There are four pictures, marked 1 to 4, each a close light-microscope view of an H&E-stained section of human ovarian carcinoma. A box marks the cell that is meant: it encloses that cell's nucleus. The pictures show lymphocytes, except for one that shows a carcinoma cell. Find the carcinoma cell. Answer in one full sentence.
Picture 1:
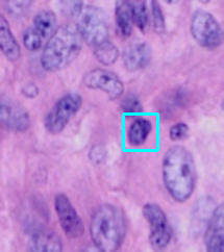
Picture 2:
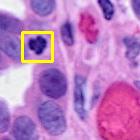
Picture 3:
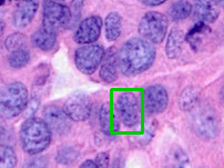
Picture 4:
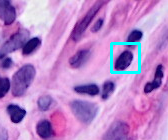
The cell in picture 3 is the carcinoma cell.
